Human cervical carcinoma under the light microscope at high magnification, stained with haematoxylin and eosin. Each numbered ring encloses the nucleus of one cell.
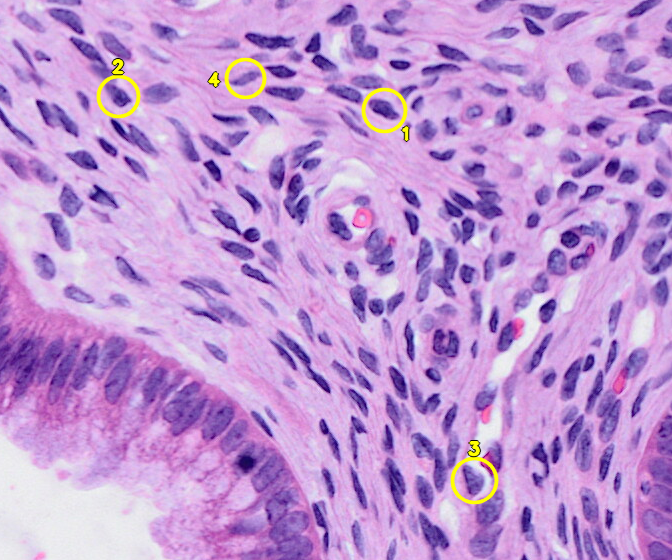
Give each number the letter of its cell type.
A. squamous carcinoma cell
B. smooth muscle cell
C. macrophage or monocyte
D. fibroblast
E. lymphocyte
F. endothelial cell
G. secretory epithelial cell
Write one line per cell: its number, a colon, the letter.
1: D
2: D
3: F
4: D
